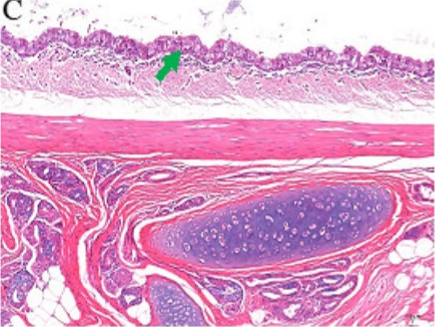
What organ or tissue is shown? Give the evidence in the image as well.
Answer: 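A lining of tall columnar epithelium sits on loose connective tissue. A plate of hyaline cartilage lies deeper in the wall. Small glands and fat lie beside the cartilage.
Bronchus.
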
